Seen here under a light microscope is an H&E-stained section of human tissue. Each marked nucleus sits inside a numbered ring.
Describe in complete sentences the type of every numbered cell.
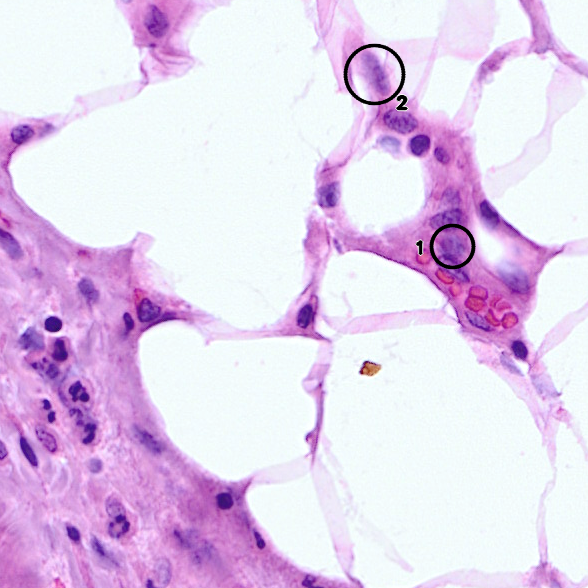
Cell 1 is an endothelial cell. Cell 2 is a fibroblast.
